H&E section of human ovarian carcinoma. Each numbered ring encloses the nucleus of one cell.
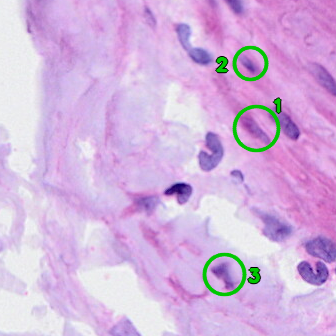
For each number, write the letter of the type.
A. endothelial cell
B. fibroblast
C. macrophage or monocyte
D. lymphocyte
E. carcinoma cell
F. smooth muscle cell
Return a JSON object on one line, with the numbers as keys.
{"1": "F", "2": "F", "3": "B"}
